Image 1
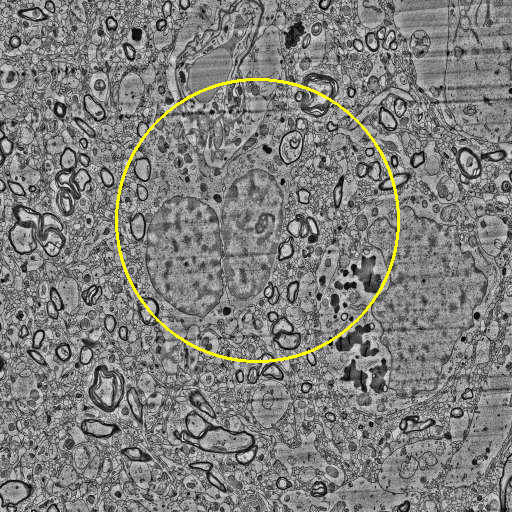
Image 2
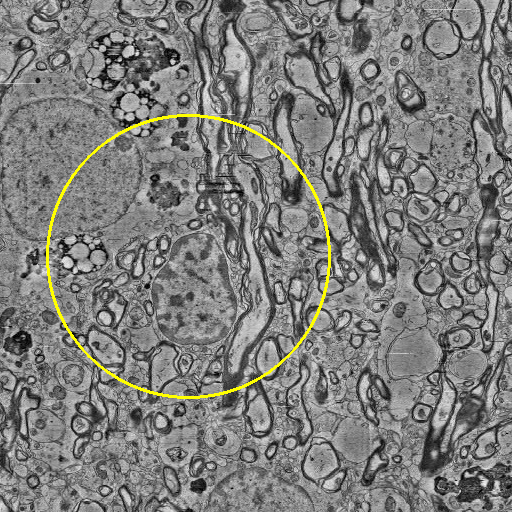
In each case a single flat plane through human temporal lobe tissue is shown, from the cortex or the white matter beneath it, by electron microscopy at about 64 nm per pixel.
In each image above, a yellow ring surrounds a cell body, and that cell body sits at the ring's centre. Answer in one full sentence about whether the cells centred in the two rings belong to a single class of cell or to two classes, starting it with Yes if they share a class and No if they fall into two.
No, the cells centred in the two yellow rings belong to two classes of cell.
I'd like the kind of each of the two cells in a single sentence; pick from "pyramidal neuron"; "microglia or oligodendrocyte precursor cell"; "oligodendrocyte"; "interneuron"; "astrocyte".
The first ring marks an oligodendrocyte, and the second ring marks a microglial cell or oligodendrocyte precursor cell.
